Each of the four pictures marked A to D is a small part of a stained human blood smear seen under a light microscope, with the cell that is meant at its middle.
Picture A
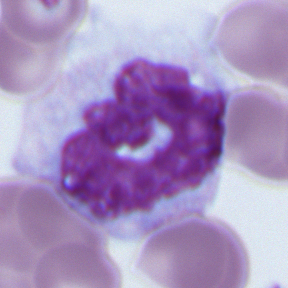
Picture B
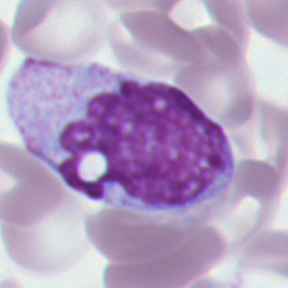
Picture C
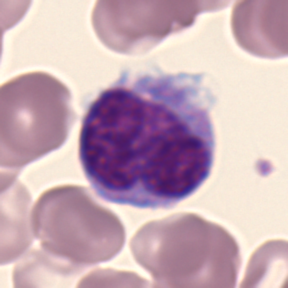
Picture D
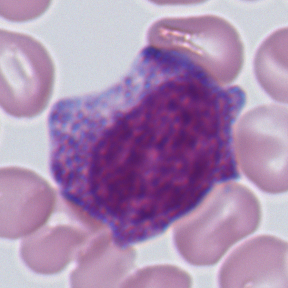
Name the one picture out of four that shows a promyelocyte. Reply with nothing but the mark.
D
